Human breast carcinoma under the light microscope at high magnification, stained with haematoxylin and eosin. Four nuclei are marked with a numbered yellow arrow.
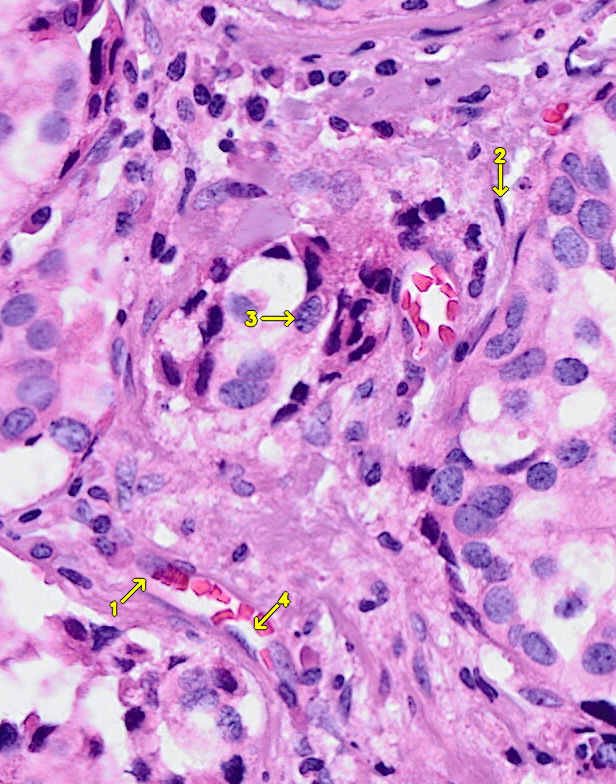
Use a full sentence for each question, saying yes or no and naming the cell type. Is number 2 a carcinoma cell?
No, number 2 marks a fibroblast rather than a carcinoma cell.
